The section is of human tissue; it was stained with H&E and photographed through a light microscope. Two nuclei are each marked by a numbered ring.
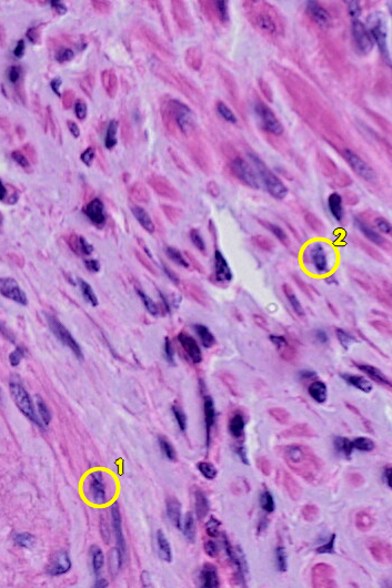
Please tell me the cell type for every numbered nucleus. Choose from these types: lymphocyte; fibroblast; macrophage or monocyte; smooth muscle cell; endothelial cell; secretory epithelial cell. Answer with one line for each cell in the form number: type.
1: smooth muscle cell
2: lymphocyte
